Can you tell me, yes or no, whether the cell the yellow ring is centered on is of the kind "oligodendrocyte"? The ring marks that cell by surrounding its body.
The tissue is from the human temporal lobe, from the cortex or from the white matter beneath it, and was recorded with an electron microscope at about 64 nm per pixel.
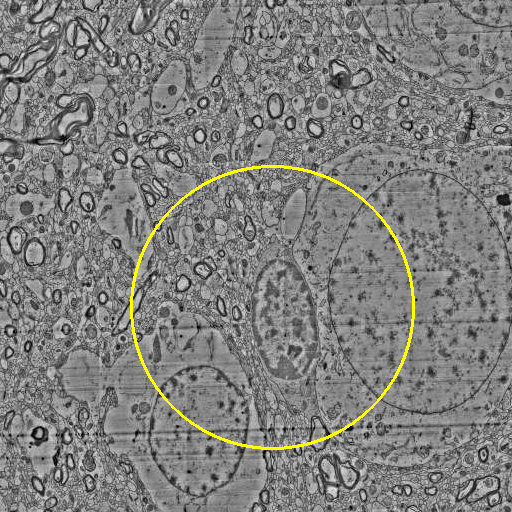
yes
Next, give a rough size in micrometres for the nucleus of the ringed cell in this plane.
In this plane, about 7 by 4 micrometres: the nucleus is clearly longer than it is wide.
